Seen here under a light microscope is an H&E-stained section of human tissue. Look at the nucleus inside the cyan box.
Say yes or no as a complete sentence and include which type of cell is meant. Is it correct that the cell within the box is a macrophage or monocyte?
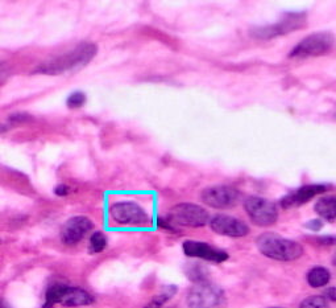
Yes, a macrophage or monocyte is what the cell within the box represents in this tissue.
